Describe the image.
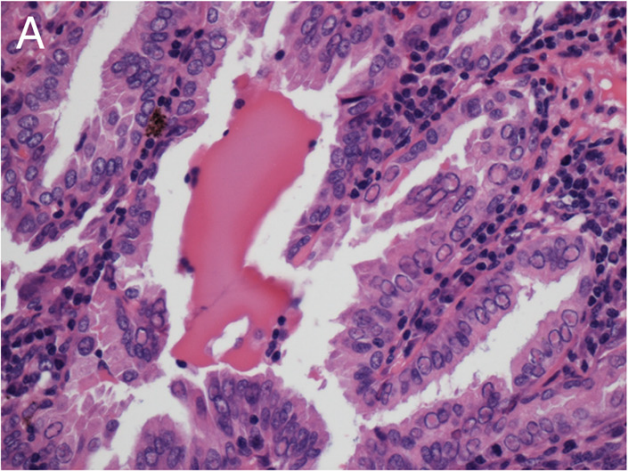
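Elongated glandular spaces are lined by crowded columnar tumor cells with oval, pale nuclei that overlap one another. In the middle a lumen holds a dense, homogeneous pink mass whose edges are irregular and scalloped. Small dark round nuclei of inflammatory cells lie in the stroma between the glands.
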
